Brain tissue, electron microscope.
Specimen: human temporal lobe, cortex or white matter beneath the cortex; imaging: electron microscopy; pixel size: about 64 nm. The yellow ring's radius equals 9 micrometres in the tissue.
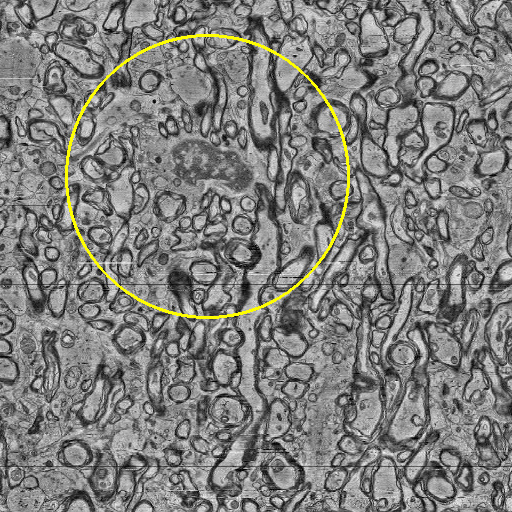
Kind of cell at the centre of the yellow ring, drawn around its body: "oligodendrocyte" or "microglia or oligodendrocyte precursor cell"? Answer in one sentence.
The ring's centre falls on an oligodendrocyte.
